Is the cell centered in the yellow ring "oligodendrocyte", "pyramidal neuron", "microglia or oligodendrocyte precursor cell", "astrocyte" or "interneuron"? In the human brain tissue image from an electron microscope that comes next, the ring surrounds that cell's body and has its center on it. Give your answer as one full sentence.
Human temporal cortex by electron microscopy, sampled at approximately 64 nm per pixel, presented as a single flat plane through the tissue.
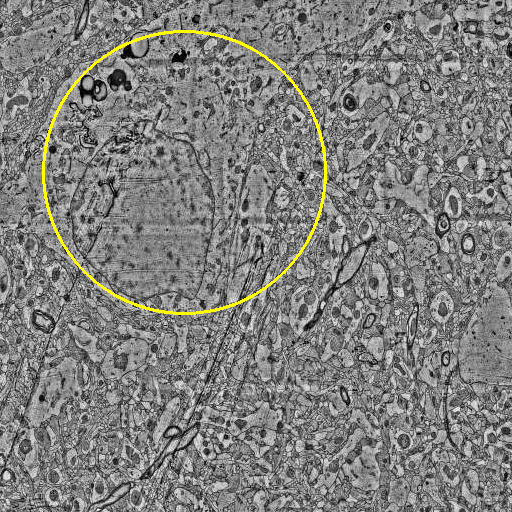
The cell at the center of the yellow ring is a pyramidal neuron in the micrograph.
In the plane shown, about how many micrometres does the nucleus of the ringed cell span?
About 12 by 9 micrometers for the nucleus, in this plane.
